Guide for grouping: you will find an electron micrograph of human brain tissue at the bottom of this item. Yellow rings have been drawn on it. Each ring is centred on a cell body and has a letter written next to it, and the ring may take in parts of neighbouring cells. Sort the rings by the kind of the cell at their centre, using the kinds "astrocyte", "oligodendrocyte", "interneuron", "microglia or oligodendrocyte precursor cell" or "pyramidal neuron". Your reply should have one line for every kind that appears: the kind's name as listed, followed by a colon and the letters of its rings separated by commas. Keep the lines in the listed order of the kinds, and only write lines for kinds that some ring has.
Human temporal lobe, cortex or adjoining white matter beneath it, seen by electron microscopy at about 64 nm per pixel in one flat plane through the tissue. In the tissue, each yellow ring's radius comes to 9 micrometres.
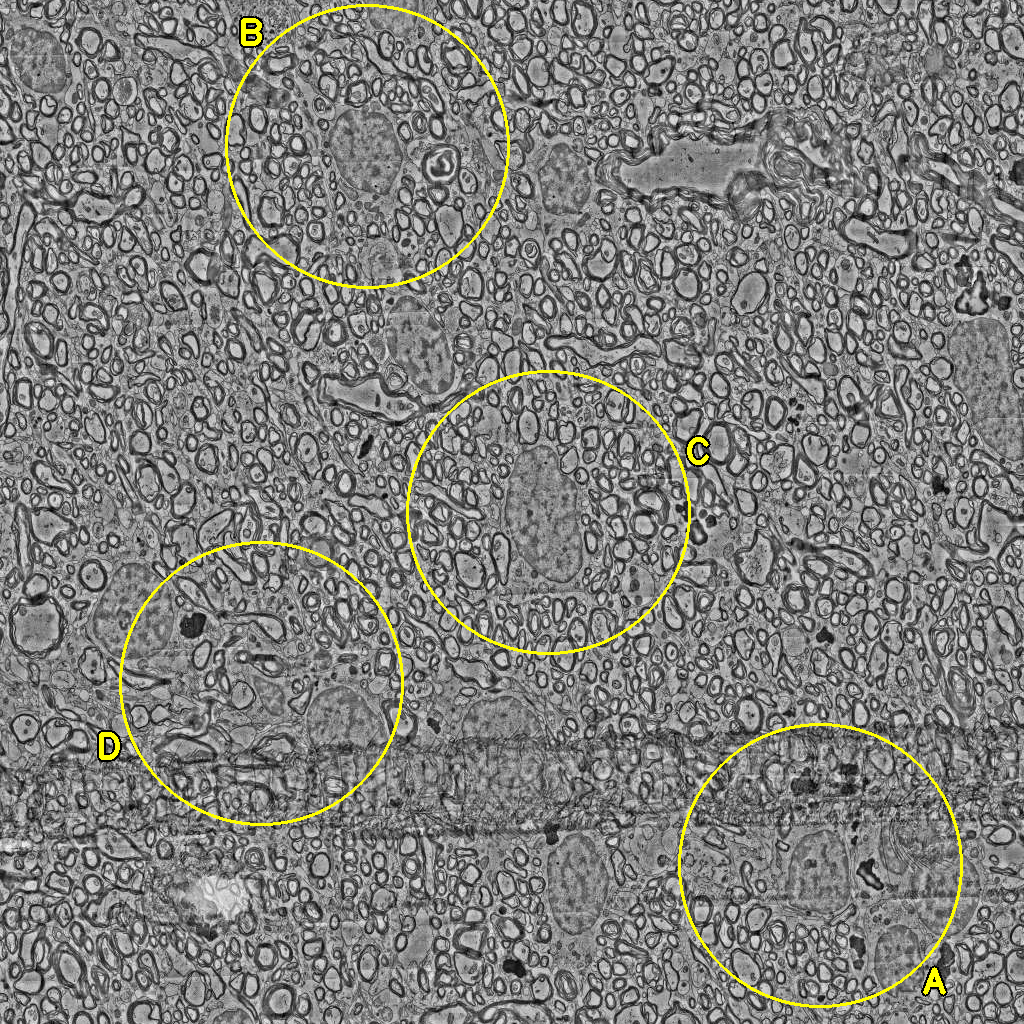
oligodendrocyte: A, B, C, D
